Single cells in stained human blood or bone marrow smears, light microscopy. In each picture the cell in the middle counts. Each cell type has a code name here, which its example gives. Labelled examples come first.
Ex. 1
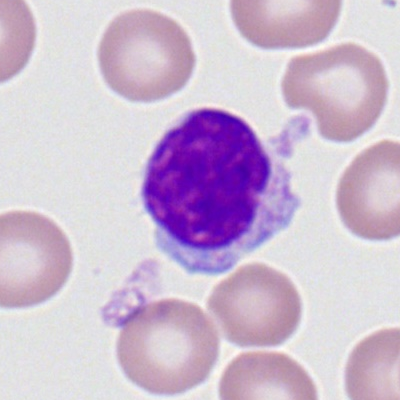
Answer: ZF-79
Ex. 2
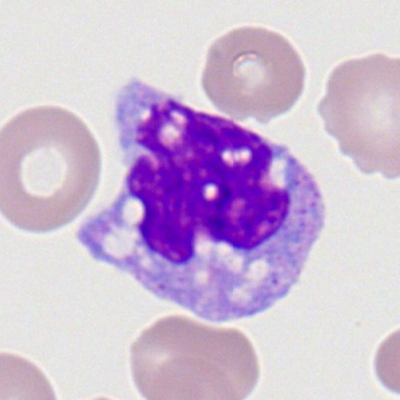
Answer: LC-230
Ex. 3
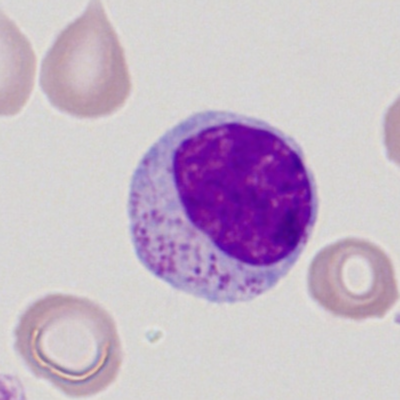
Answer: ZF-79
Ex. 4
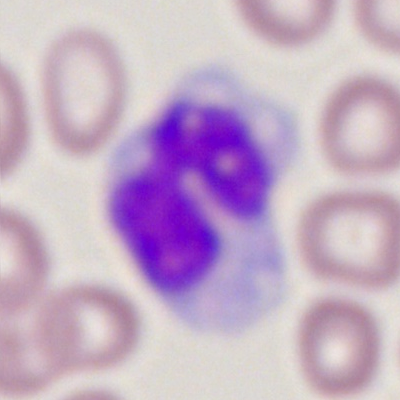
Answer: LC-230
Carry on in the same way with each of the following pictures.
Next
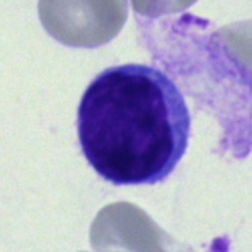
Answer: ZF-79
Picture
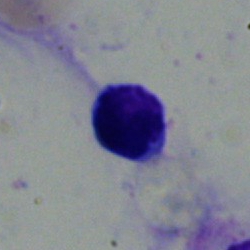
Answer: ZF-79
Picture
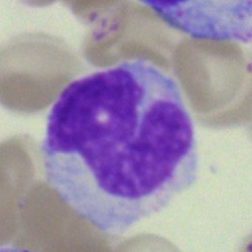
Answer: LC-230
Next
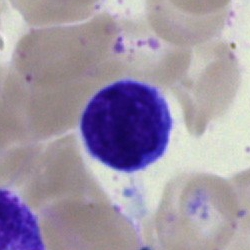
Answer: ZF-79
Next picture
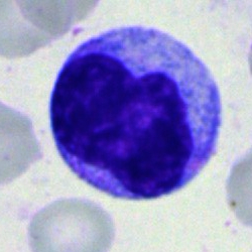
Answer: LC-230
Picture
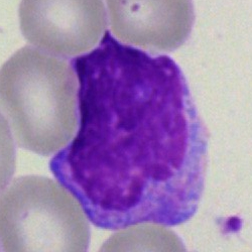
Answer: LC-230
